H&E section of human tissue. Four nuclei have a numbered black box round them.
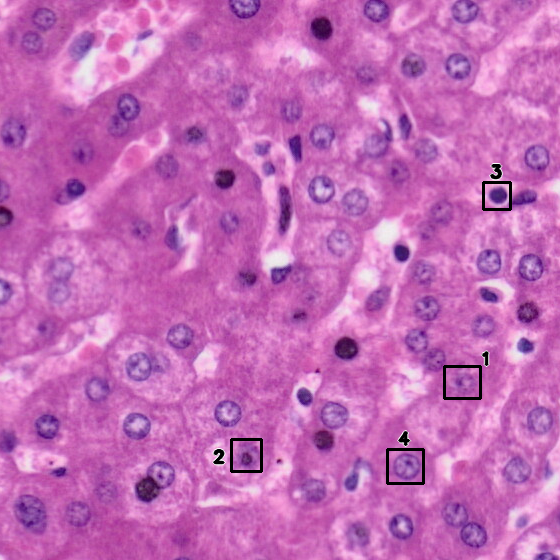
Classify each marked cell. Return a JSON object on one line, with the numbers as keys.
{"1": "hepatocyte", "2": "hepatocyte", "3": "lymphocyte", "4": "hepatocyte"}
